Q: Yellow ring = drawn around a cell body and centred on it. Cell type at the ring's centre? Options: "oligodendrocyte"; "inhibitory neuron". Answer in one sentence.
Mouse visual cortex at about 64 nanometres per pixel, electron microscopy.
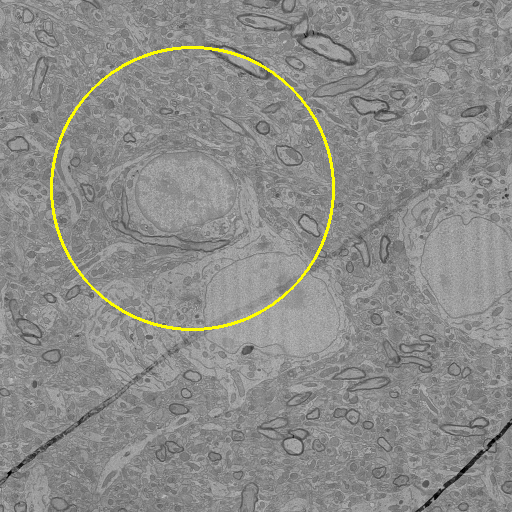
Centred in the ring is an oligodendrocyte.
